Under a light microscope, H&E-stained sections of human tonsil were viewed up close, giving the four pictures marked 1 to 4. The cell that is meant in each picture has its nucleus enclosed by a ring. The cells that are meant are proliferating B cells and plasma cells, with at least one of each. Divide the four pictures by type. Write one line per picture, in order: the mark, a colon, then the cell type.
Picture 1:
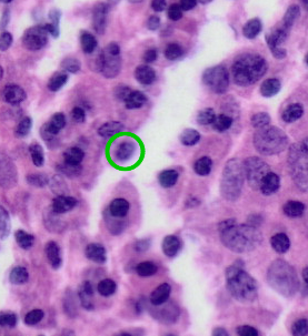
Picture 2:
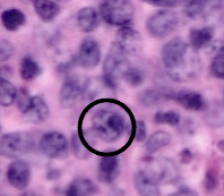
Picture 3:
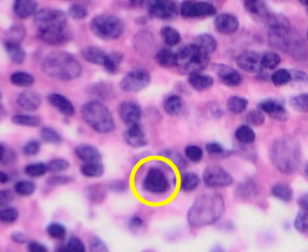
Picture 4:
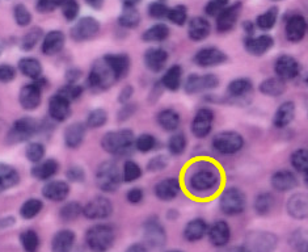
1: plasma cell
2: proliferating B cell
3: proliferating B cell
4: plasma cell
